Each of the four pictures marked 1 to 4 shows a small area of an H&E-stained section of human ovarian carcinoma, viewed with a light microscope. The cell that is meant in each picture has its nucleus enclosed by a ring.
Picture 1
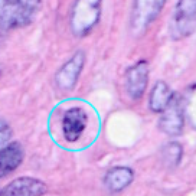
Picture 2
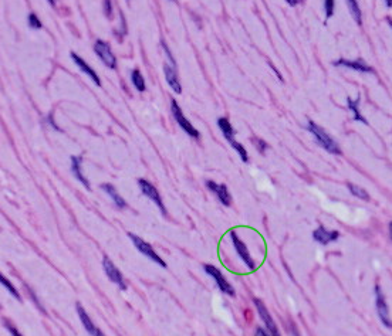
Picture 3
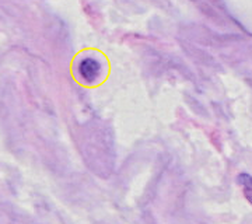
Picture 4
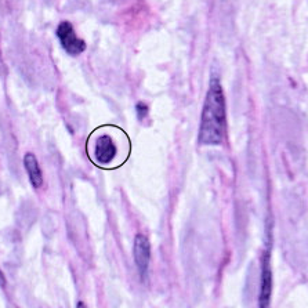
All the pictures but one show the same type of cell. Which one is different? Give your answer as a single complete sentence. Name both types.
Picture 2 is the odd one out: it shows a fibroblast, while the others show lymphocytes.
